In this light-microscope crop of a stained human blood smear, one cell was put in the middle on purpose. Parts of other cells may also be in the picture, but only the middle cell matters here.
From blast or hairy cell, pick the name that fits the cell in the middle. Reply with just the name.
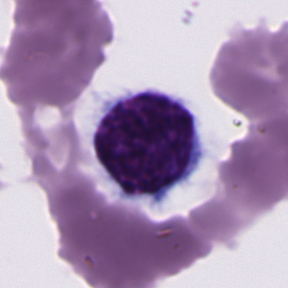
hairy cell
